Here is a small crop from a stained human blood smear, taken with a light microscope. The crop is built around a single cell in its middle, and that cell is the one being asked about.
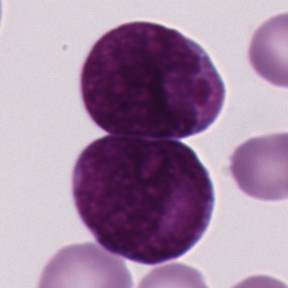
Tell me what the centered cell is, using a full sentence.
The cell of interest, in the center, is a myeloblast.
